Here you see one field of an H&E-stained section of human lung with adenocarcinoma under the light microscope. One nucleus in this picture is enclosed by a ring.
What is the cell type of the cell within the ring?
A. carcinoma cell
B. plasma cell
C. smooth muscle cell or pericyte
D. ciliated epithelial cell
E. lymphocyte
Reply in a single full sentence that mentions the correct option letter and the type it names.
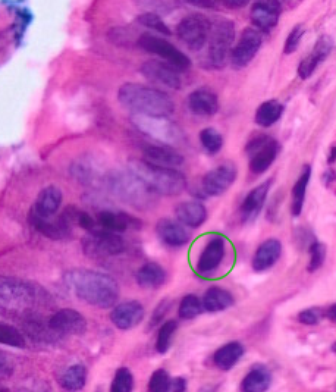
In this case the cell within the ring is a plasma cell, so option B is correct.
